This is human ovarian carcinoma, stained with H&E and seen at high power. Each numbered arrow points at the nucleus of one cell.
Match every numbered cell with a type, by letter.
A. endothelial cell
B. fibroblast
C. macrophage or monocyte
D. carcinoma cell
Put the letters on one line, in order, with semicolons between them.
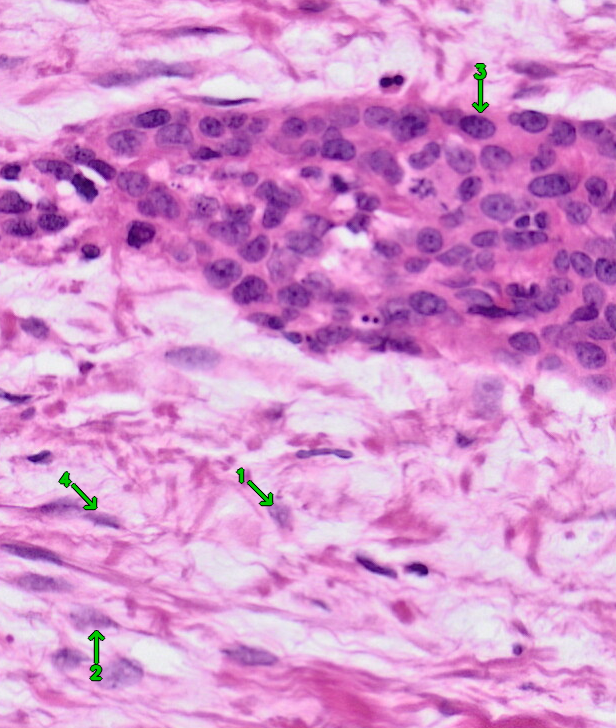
B; B; D; B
